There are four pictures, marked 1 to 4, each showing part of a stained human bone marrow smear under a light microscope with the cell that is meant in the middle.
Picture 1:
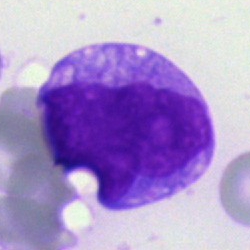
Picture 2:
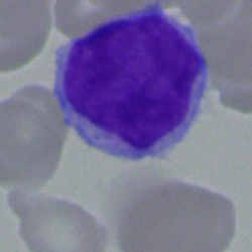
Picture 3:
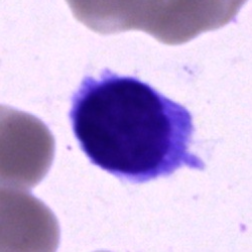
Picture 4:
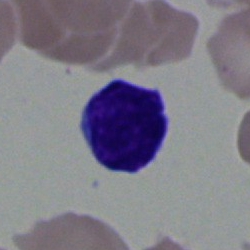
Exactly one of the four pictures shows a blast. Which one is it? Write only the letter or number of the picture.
1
